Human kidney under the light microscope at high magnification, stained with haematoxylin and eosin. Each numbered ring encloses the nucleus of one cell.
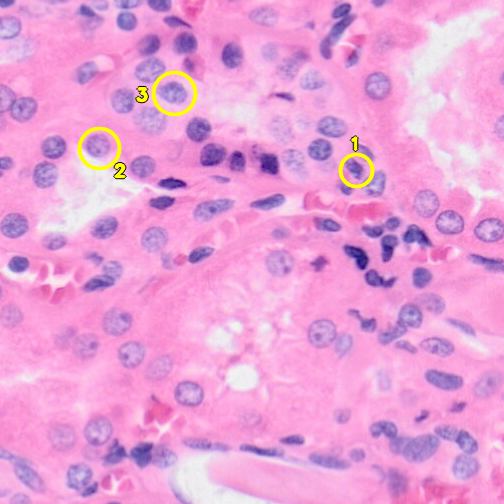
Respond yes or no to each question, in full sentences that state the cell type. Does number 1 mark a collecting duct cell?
No, the cell that carries number 1 is an endothelial cell, not a collecting duct cell.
